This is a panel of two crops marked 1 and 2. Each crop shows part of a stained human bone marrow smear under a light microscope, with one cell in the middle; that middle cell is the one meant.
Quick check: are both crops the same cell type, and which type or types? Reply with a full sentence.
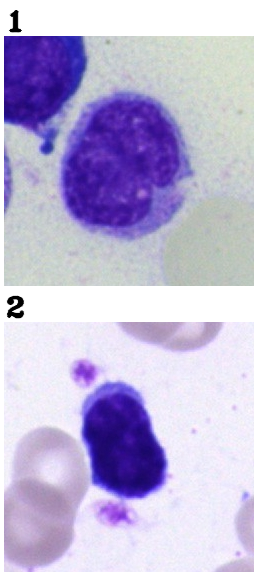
No, in this case crop 1 shows a monocyte, and crop 2 shows a lymphocyte.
